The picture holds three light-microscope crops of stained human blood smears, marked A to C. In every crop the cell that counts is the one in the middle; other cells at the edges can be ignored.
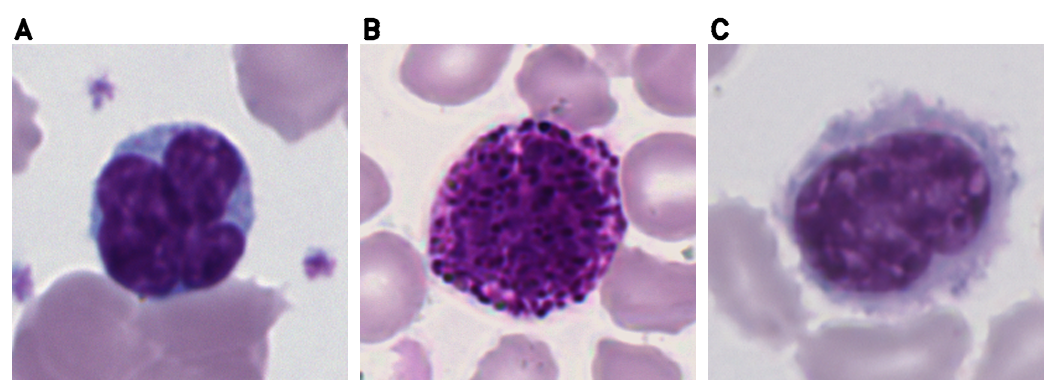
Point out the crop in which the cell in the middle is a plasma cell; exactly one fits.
C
